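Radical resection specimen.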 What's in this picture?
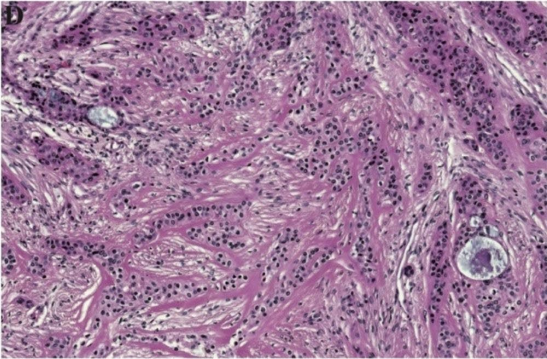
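Tumor cells arranged in cords and small nests within pink collagenous stroma. Nuclei are round, fairly uniform and dark, with pale to clear cytoplasm. A few small gland-like spaces with pale content lie among the cords.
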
